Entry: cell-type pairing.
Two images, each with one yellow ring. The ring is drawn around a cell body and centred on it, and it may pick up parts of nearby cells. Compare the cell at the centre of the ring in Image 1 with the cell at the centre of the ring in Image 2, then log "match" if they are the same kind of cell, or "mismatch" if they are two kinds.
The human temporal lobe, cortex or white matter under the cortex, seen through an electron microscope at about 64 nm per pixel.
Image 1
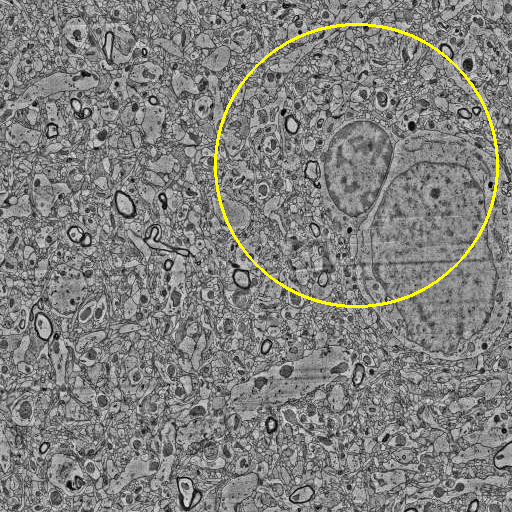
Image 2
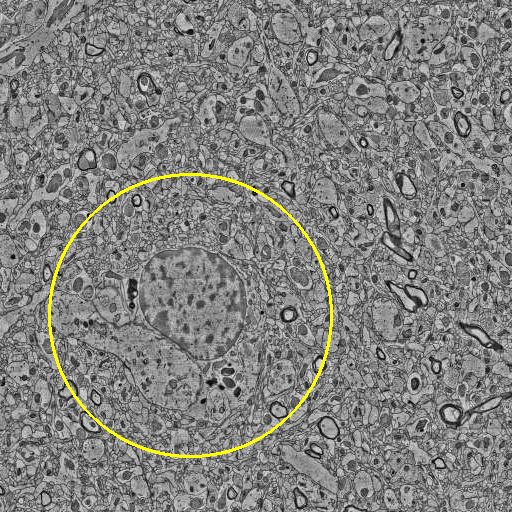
mismatch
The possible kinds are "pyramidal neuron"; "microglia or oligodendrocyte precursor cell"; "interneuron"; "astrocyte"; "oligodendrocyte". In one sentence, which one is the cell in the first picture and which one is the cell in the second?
The cell ringed in the second picture is a microglial cell or oligodendrocyte precursor cell, whereas the one ringed in the first is an oligodendrocyte.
